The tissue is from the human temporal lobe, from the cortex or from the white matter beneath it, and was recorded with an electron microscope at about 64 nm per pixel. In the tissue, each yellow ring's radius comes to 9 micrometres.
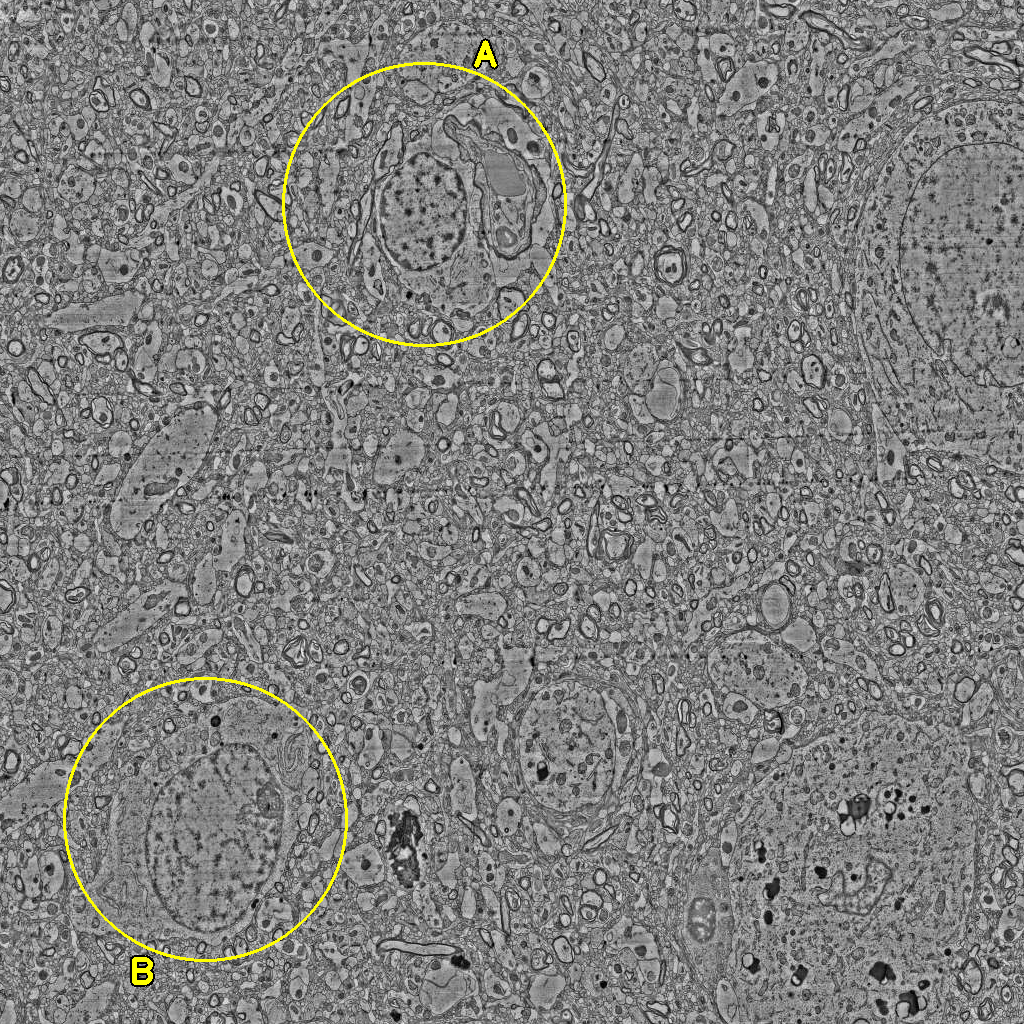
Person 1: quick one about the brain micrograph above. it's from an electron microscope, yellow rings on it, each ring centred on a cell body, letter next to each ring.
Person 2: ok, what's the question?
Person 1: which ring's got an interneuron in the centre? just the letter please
B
